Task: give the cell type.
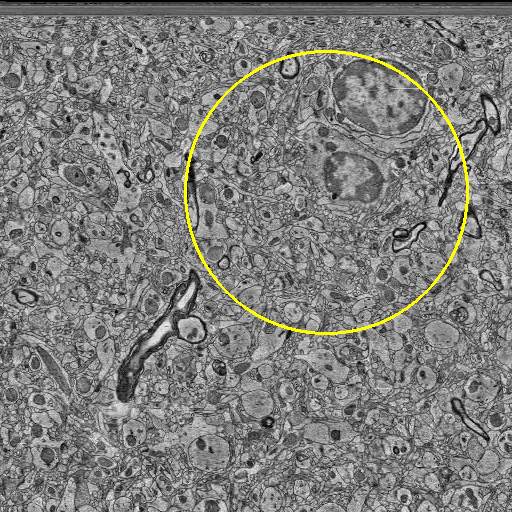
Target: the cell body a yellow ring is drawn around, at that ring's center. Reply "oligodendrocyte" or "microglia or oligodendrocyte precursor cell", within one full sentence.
In this picture, the cell whose body lies at the ring's center is an oligodendrocyte.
